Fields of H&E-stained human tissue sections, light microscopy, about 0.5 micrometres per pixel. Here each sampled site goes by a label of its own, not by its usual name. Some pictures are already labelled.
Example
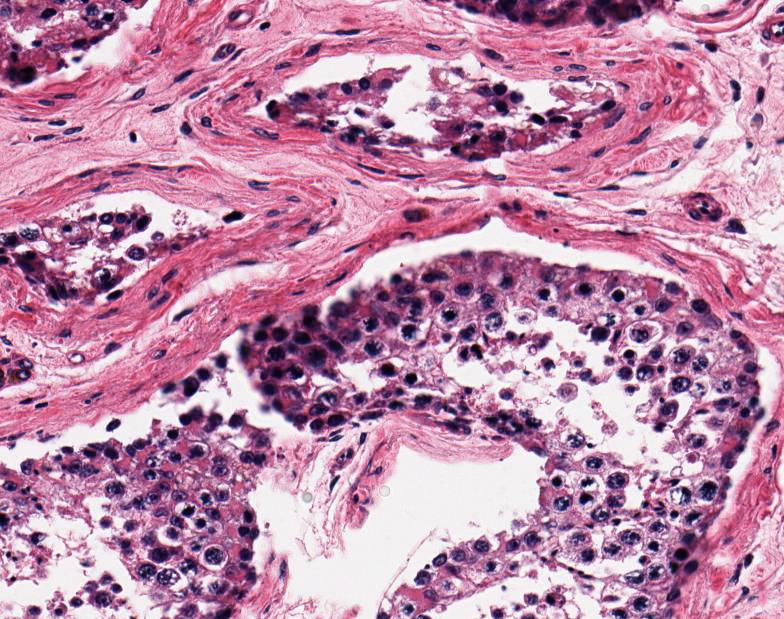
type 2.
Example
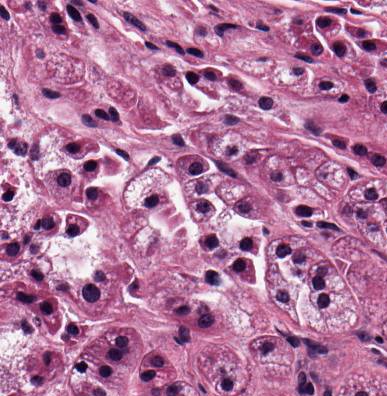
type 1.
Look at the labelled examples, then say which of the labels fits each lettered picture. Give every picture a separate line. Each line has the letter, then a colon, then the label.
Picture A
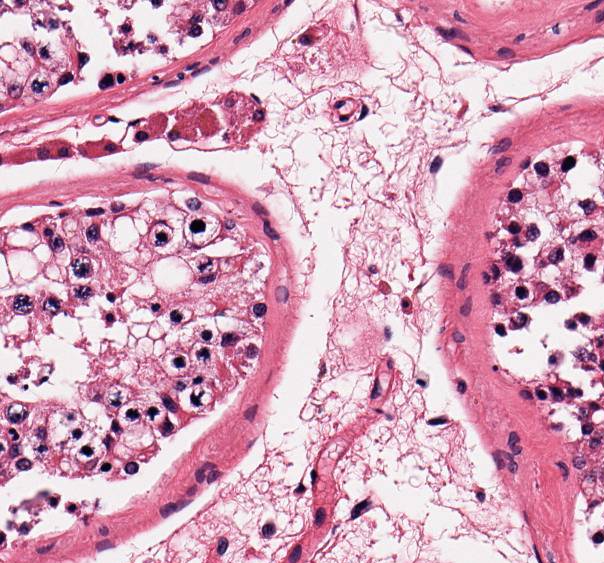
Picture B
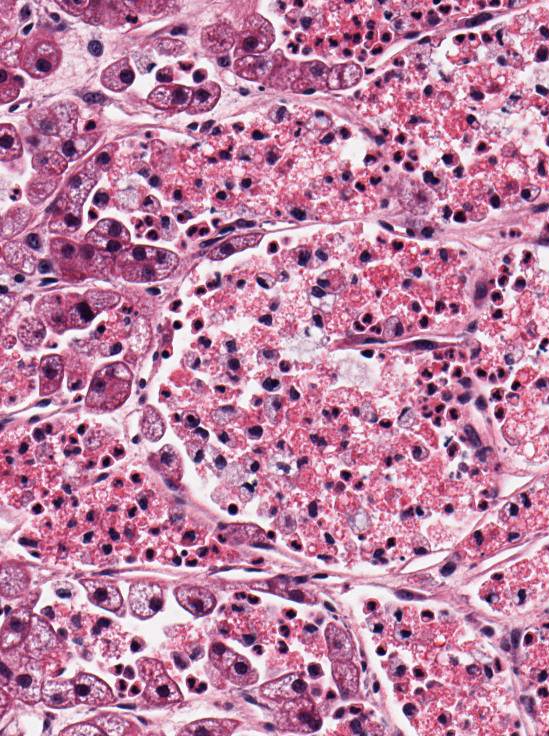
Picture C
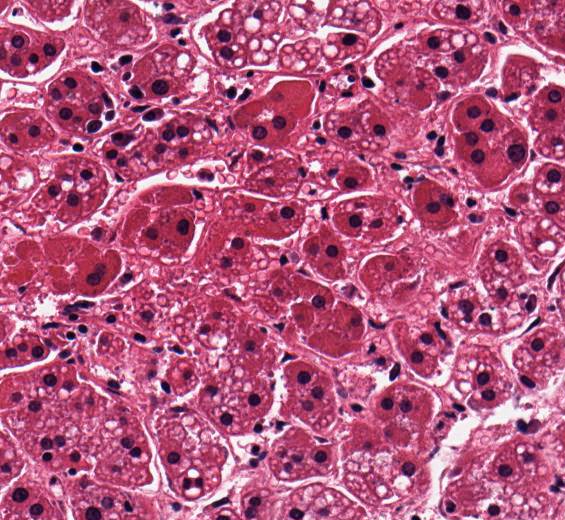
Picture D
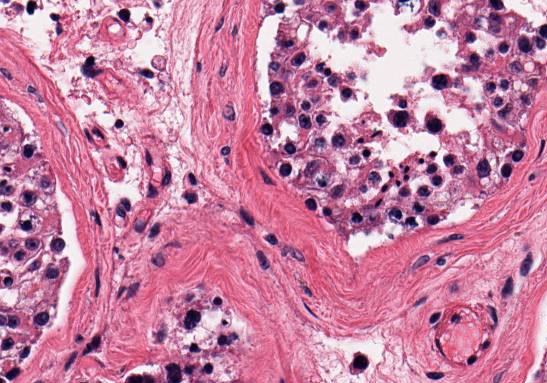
A: type 2.
B: type 1.
C: type 1.
D: type 2.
